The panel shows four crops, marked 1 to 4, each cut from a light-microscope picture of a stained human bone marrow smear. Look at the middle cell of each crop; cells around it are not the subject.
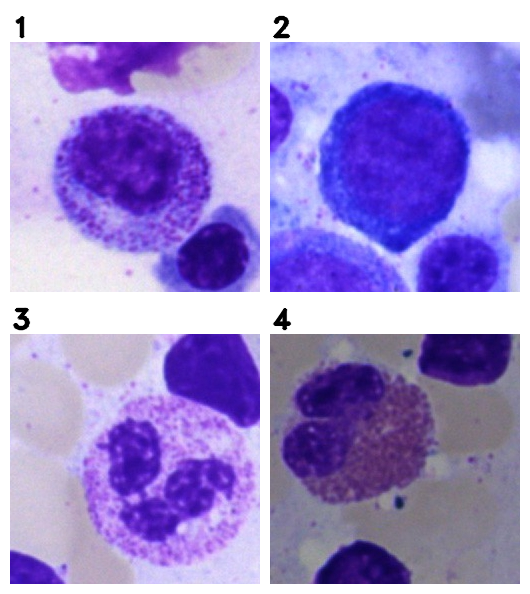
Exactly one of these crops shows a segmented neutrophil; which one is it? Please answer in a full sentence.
The cell identified as a segmented neutrophil is the one in crop 3.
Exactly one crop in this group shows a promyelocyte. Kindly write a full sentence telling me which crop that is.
It is in crop 1, among all the crops, that a promyelocyte is present.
